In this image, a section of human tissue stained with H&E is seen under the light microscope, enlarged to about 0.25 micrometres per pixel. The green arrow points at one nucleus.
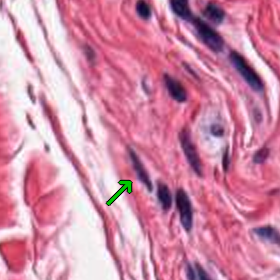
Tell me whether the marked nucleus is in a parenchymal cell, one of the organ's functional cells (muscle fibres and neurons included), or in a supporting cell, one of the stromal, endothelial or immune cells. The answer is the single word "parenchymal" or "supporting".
supporting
